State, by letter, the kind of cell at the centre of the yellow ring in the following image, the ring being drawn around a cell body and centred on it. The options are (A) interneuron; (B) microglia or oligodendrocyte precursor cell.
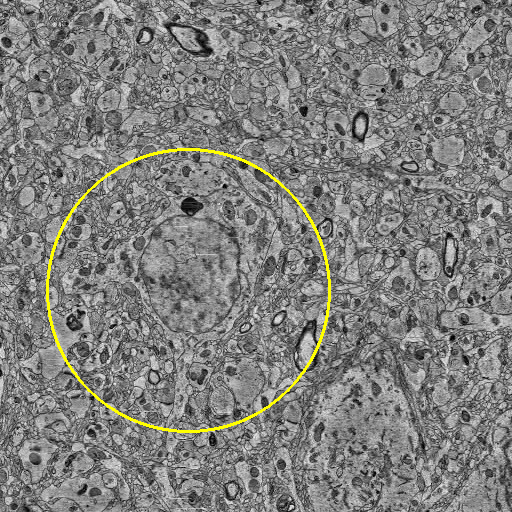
A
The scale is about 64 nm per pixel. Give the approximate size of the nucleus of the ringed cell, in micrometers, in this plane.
The nucleus has a long axis of about 8 micrometres and a short axis of about 6 micrometres in this plane.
